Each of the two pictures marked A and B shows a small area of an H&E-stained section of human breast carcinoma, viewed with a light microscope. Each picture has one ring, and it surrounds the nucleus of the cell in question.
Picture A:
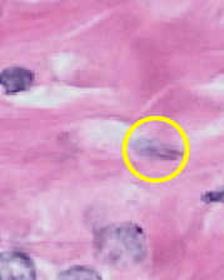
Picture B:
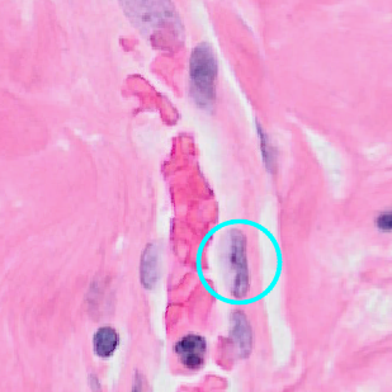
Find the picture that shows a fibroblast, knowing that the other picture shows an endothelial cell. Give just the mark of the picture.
A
